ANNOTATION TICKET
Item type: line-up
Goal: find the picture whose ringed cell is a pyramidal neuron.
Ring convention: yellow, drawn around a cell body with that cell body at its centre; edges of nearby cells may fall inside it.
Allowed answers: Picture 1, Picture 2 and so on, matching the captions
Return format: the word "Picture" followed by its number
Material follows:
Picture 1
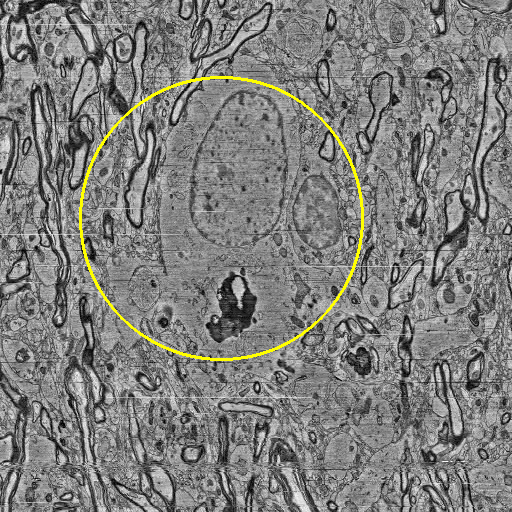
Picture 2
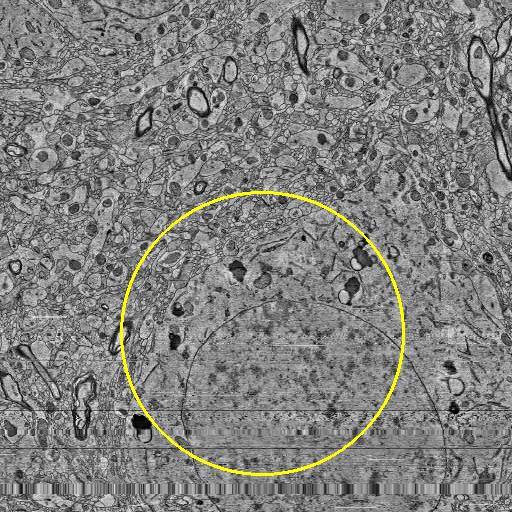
Picture 2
